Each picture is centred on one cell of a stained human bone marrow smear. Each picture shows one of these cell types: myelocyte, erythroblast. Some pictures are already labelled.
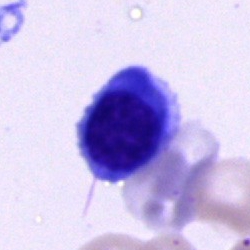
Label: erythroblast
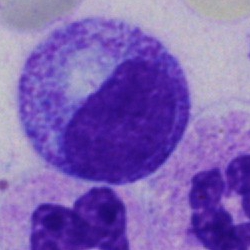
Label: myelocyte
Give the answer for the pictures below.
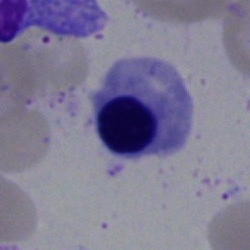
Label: erythroblast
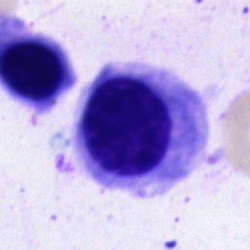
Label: erythroblast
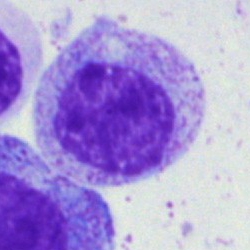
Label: myelocyte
